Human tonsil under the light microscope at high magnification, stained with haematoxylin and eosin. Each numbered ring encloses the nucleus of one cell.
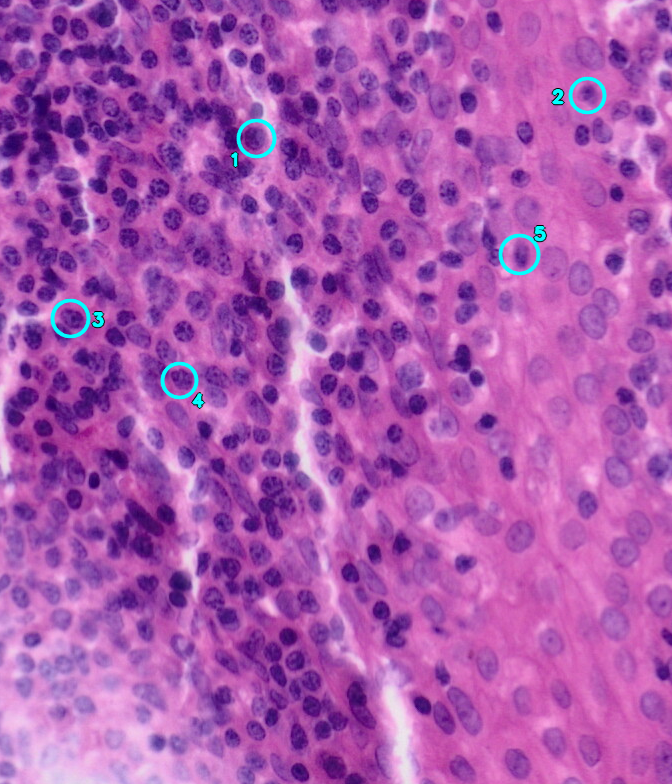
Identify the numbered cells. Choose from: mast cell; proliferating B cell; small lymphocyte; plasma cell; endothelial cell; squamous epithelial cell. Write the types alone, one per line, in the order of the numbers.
plasma cell
squamous epithelial cell
plasma cell
plasma cell
squamous epithelial cell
